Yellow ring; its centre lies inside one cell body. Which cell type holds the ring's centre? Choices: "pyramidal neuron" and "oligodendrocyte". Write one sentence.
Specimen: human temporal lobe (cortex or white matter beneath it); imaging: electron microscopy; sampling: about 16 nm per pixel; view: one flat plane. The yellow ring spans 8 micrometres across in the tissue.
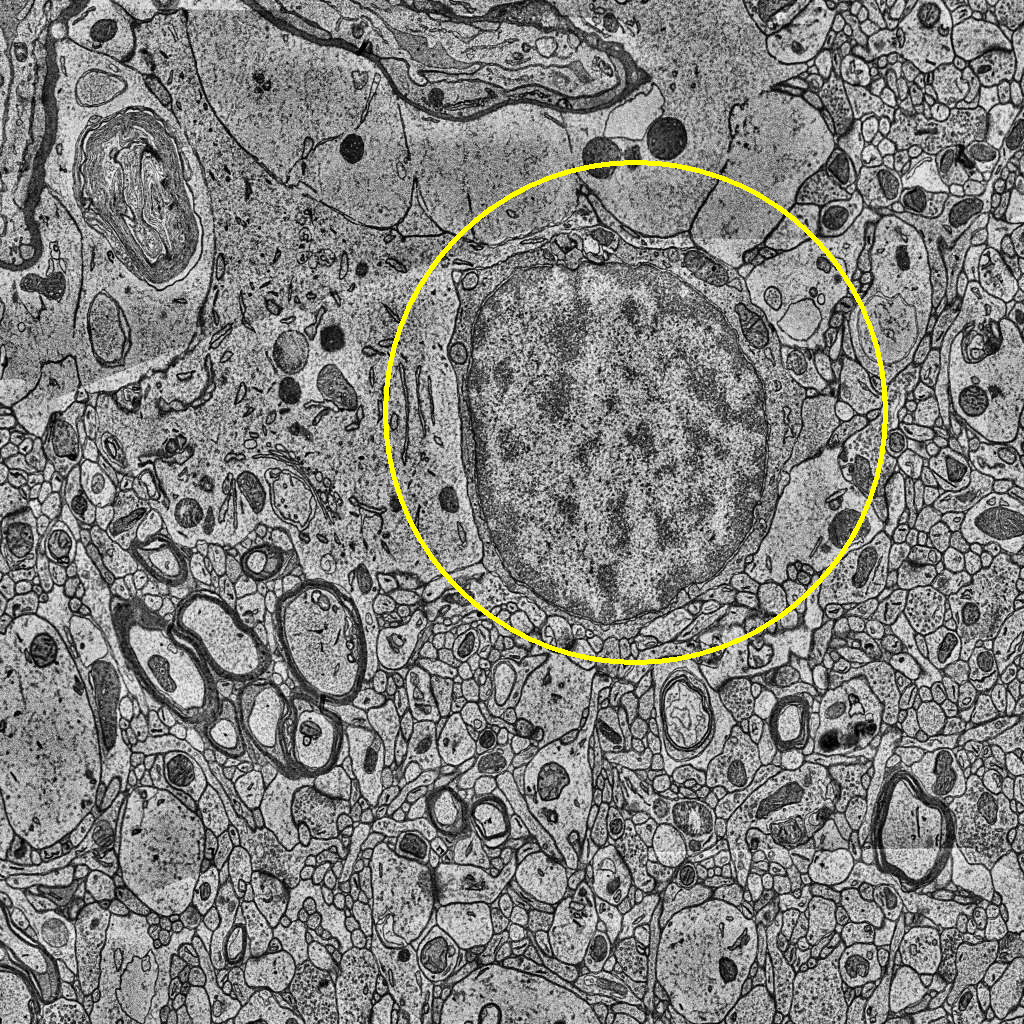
At the centre of the ring sits an oligodendrocyte.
